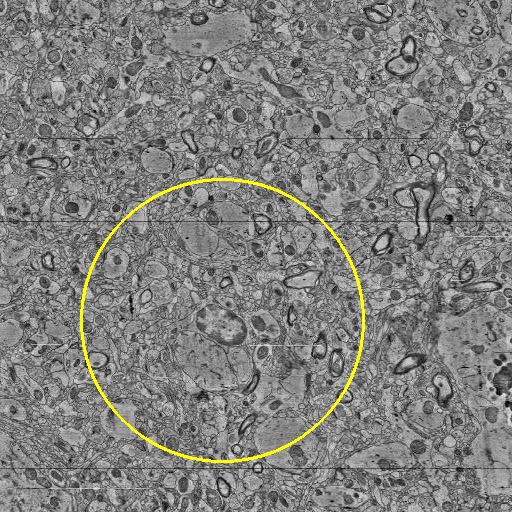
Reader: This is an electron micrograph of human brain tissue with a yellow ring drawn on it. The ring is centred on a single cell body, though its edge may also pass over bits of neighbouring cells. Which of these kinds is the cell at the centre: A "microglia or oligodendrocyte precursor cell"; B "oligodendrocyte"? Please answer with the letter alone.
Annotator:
A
